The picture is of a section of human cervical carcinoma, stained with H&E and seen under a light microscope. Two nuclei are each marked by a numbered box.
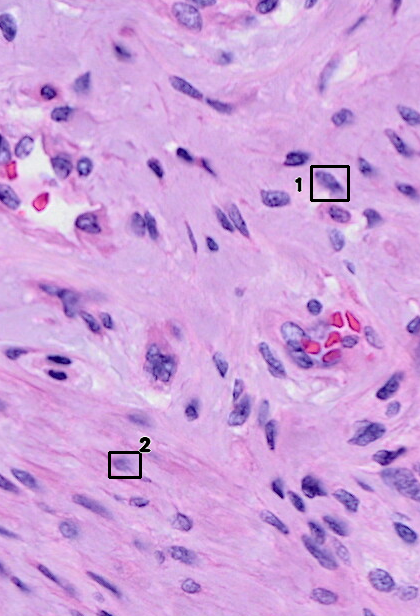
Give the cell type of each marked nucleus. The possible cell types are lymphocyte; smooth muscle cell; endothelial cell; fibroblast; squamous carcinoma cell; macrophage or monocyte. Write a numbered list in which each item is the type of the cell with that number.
1. fibroblast
2. smooth muscle cell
